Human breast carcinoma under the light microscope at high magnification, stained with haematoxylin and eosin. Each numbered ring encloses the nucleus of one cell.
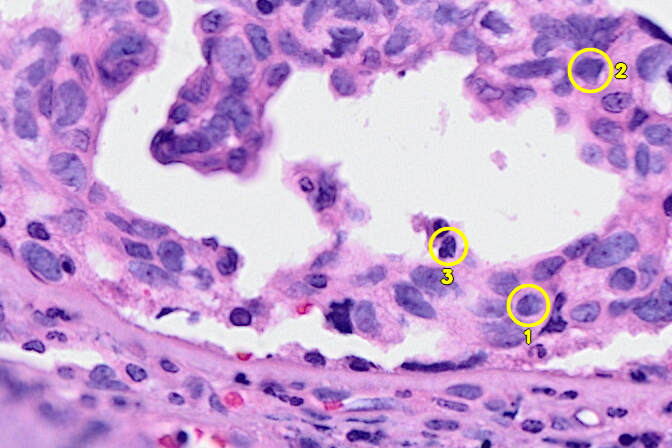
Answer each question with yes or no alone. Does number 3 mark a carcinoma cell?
no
